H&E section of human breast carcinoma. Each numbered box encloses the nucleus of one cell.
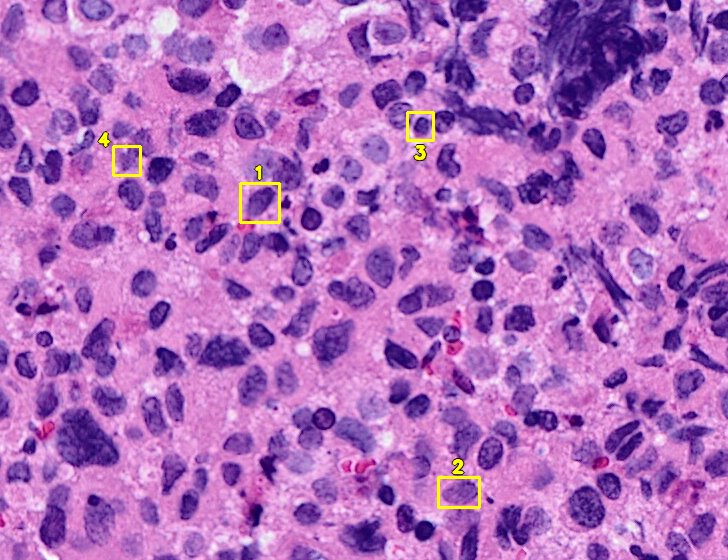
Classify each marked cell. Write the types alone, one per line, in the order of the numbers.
carcinoma cell
carcinoma cell
lymphocyte
carcinoma cell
